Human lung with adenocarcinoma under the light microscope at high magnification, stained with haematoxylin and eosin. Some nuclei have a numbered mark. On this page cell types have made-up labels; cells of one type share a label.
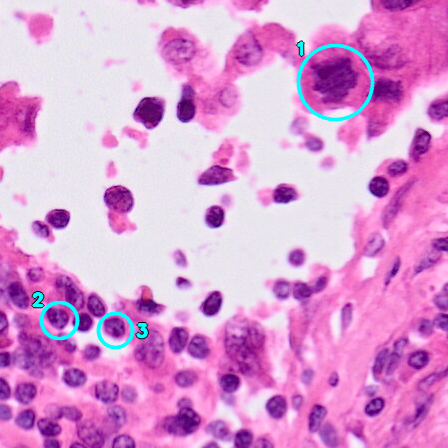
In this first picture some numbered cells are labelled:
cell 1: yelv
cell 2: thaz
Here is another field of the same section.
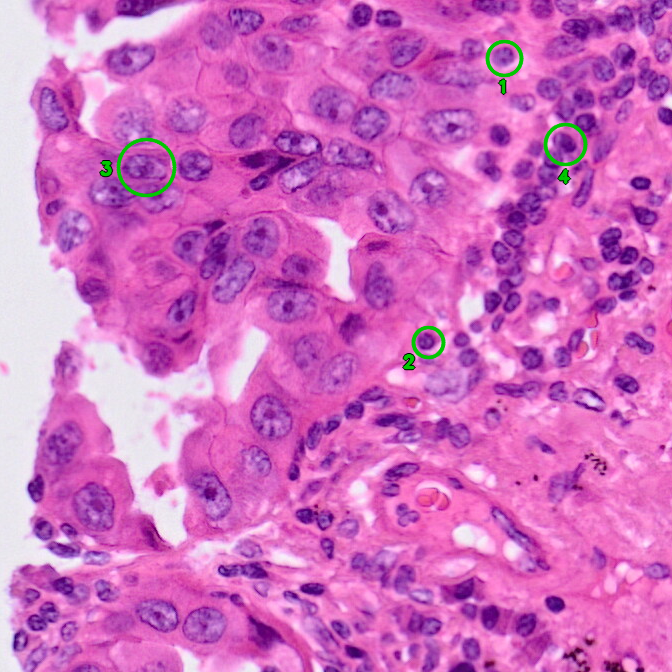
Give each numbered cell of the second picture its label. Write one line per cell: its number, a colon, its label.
1: thaz
2: thaz
3: yelv
4: thaz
